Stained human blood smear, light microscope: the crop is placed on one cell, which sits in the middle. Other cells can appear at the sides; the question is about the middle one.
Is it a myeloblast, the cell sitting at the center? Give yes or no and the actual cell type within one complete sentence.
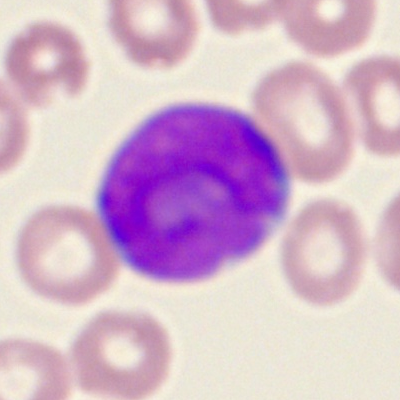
Yes, the cell at the centre of the field is a myeloblast.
